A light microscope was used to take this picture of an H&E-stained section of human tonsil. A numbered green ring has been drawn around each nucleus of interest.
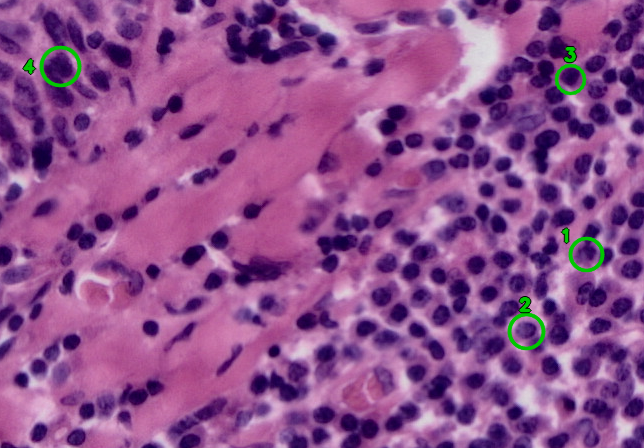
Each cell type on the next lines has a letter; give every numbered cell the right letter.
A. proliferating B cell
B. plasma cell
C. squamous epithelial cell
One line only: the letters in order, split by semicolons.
B; B; B; C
